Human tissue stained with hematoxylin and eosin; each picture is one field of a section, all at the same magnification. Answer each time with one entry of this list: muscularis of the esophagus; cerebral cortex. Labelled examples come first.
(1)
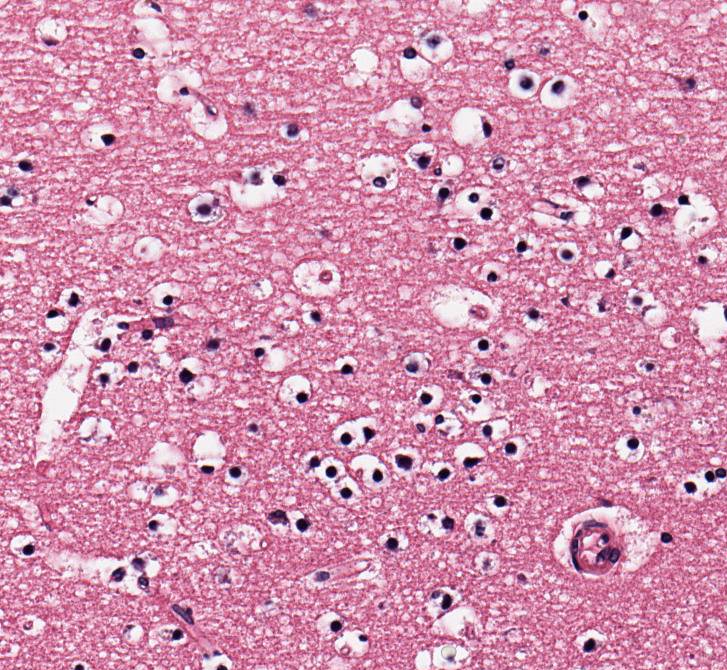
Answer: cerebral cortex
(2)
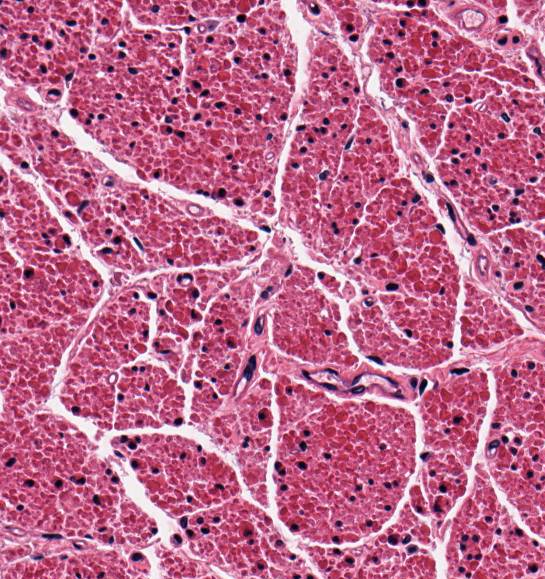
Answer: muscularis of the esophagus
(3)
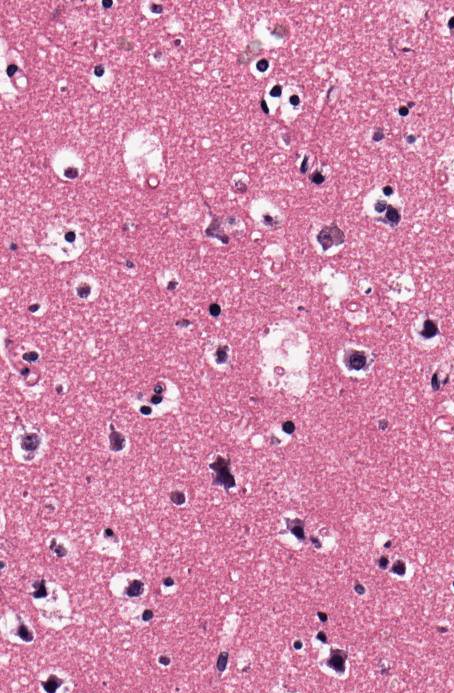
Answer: cerebral cortex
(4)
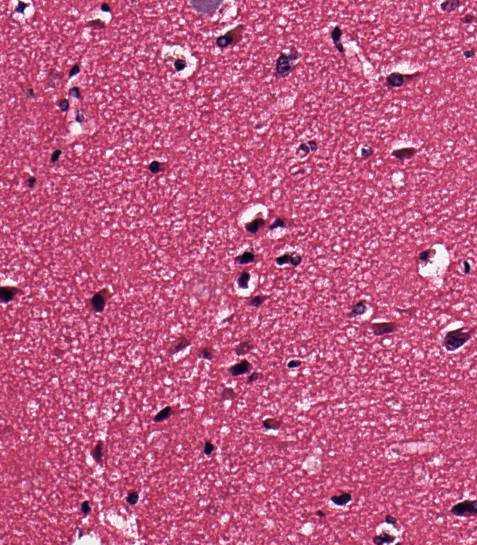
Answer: cerebral cortex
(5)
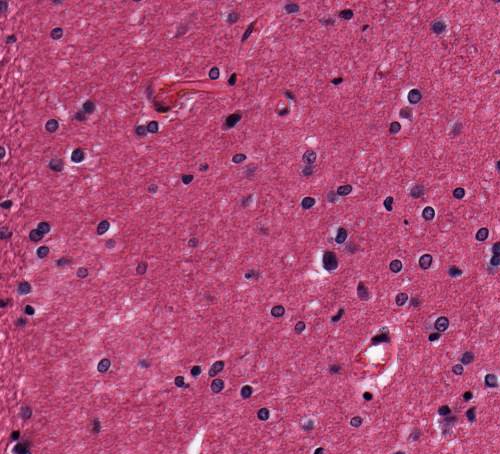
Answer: cerebral cortex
